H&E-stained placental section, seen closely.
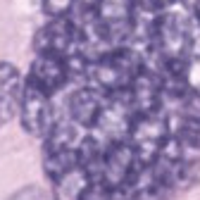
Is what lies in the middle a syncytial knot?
Yes, it is a syncytial knot.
